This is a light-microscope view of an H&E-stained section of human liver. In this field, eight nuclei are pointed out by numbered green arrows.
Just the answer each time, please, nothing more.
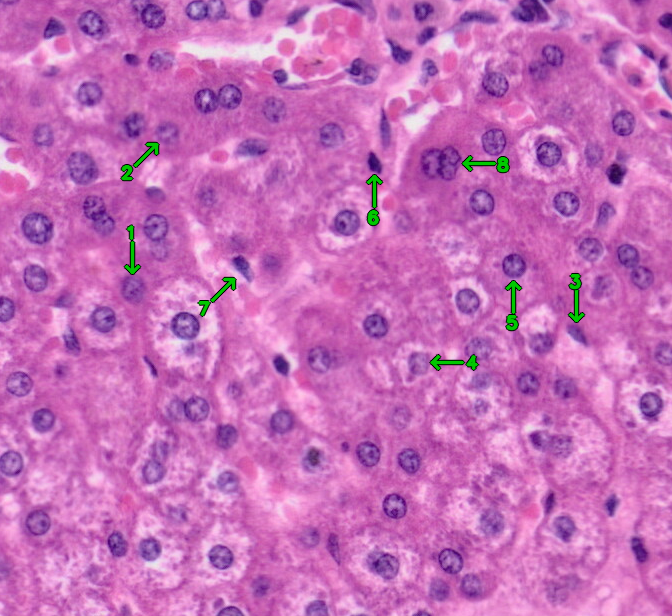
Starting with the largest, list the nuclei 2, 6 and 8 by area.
8, 2, 6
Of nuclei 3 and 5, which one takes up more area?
5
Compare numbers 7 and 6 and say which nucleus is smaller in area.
6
